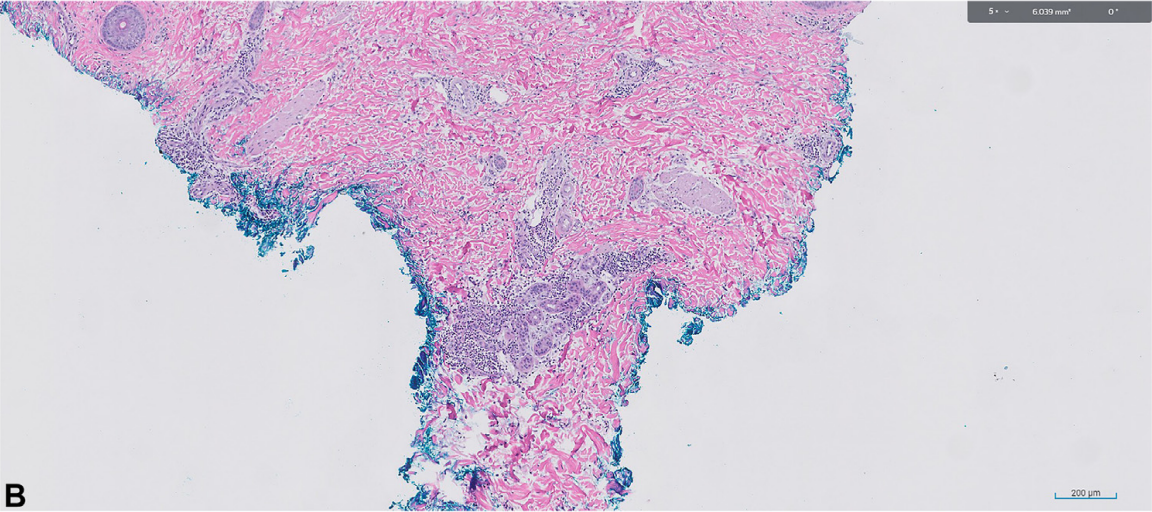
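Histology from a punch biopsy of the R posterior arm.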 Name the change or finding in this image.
Perivascular infiltrate.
